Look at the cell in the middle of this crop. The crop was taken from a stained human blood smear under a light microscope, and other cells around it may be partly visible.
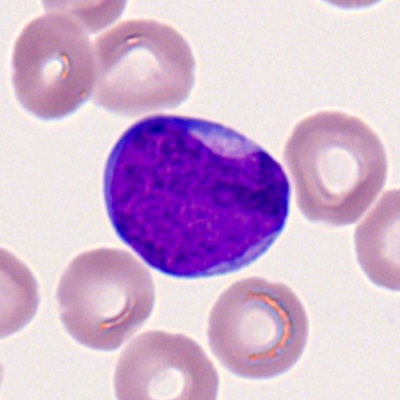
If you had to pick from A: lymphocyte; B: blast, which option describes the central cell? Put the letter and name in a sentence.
Since the cell in the centre is a blast, the correct option is B.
